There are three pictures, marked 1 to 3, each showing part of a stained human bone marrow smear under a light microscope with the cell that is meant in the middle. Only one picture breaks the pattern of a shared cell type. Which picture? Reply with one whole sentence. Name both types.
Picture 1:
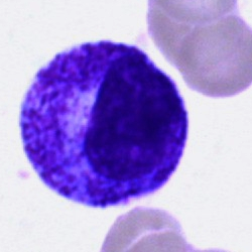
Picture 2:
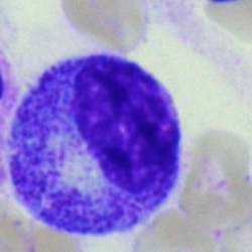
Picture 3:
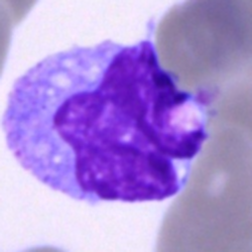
All pictures except 3 show promyelocytes; picture 3 shows a monocyte.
